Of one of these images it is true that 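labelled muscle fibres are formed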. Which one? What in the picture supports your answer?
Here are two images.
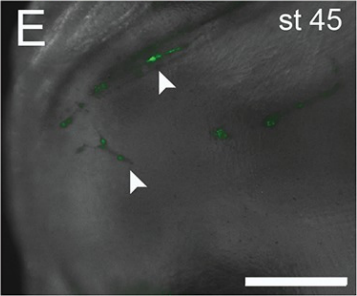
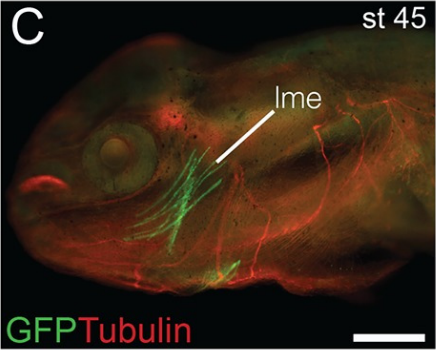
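Second image: a fan of long, parallel green muscle fibres behind the eye. So: the second image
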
